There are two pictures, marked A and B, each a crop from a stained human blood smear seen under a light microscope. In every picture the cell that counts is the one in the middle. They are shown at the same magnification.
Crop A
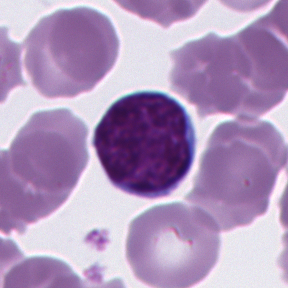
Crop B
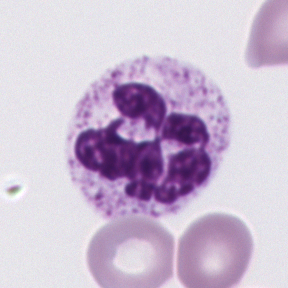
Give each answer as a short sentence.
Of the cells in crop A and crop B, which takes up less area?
The cell in crop A is smaller; the one in crop B has about 2 times its area.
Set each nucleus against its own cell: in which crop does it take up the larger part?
In crop A the nucleus takes up the larger part of its cell.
